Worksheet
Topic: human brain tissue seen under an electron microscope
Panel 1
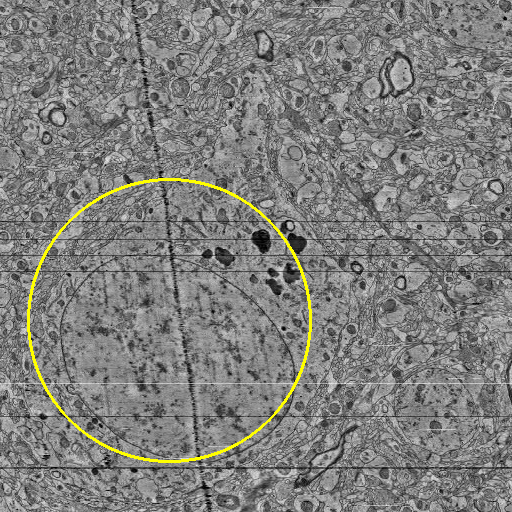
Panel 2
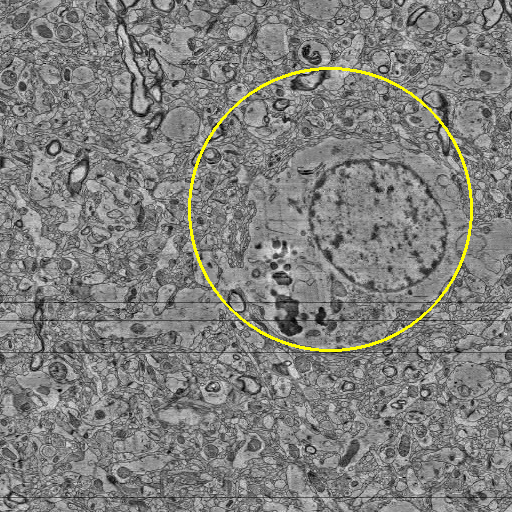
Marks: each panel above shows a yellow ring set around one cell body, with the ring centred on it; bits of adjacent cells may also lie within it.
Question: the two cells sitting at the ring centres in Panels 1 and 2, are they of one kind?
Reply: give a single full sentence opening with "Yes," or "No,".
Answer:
No, the two ring-centre cells in Panel 1 and Panel 2 are of two kinds.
